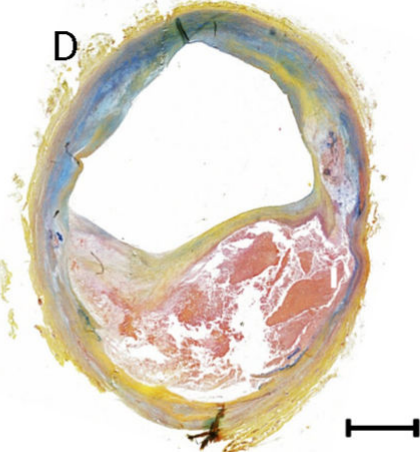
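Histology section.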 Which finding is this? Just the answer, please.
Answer: Atherosclerotic lesion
